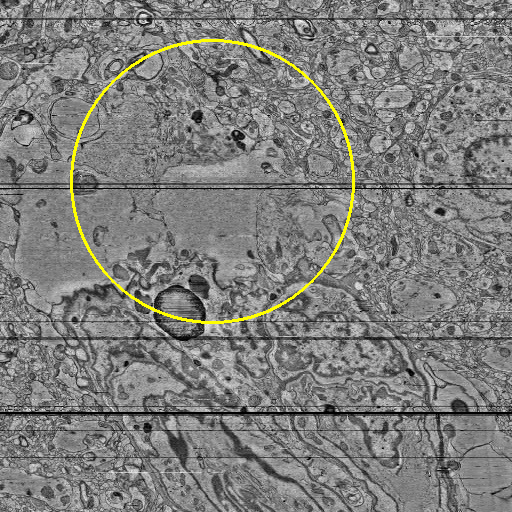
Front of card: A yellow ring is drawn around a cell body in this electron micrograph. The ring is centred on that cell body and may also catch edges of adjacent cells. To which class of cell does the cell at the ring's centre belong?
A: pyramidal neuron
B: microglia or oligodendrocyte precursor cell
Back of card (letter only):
B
